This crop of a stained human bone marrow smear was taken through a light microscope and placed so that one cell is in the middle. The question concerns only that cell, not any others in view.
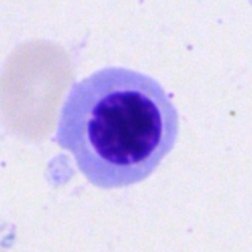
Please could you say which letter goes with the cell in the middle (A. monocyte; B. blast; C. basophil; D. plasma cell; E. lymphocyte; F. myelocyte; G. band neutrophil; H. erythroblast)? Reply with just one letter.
H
